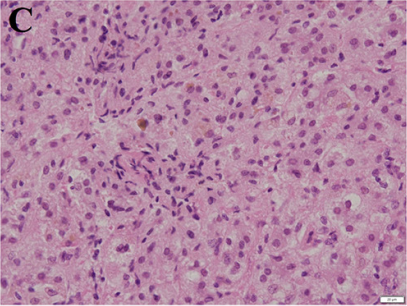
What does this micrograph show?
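This is liver tissue at high power, with hepatocytes that have swollen, pale pink and partly cleared cytoplasm and round nuclei. Scattered among them are golden-brown globules of pigment. Between the hepatocytes lie many smaller cells with dark, elongated or irregular nuclei, crowding the spaces and breaking up the regular arrangement of the liver cell cords. The overall picture is of damaged liver parenchyma with an inflammatory infiltrate and retained pigment.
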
